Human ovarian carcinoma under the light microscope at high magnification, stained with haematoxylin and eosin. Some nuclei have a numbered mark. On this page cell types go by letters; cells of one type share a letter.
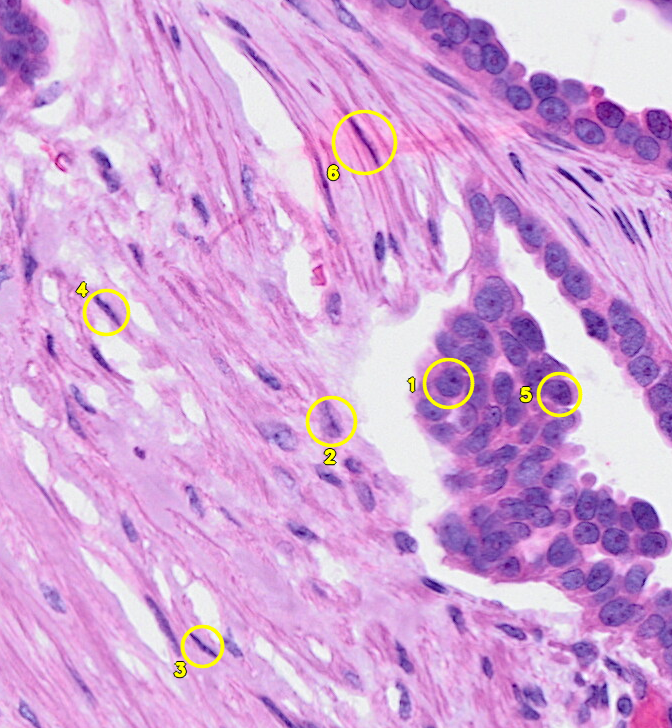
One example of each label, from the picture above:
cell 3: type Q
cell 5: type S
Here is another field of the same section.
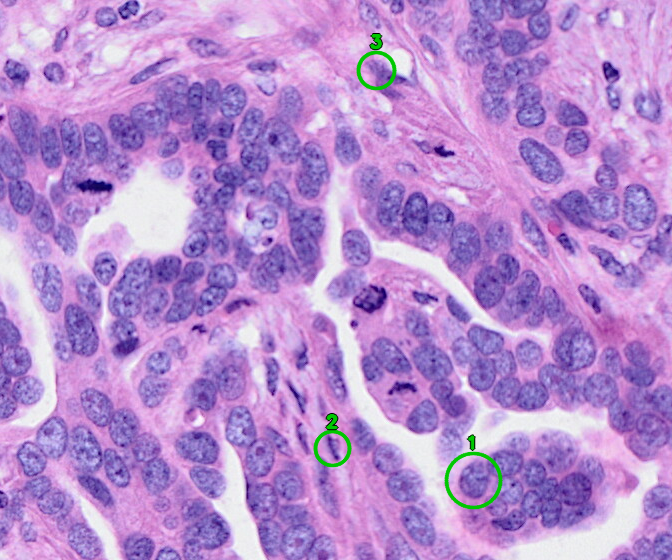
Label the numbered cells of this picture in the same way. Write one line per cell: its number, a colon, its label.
1: type S
2: type Q
3: type Q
